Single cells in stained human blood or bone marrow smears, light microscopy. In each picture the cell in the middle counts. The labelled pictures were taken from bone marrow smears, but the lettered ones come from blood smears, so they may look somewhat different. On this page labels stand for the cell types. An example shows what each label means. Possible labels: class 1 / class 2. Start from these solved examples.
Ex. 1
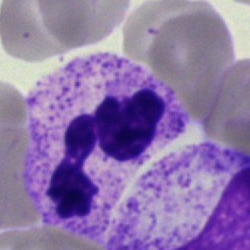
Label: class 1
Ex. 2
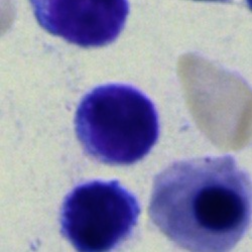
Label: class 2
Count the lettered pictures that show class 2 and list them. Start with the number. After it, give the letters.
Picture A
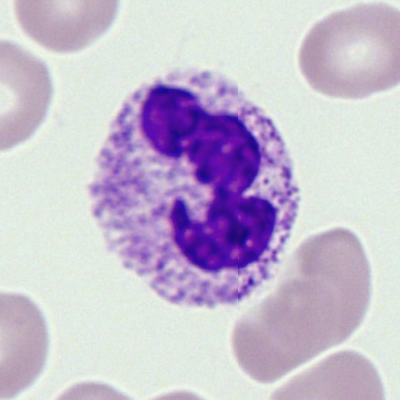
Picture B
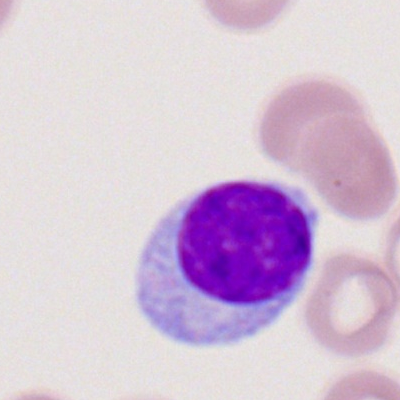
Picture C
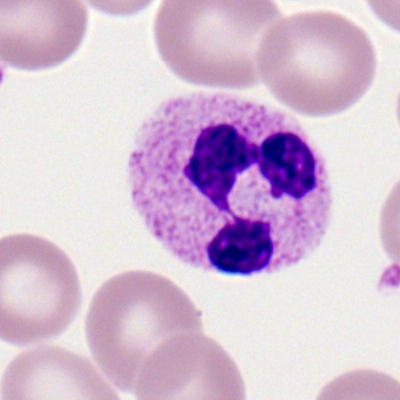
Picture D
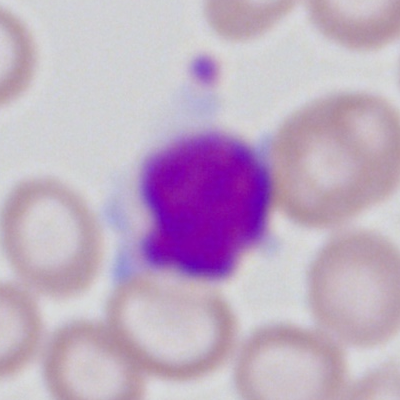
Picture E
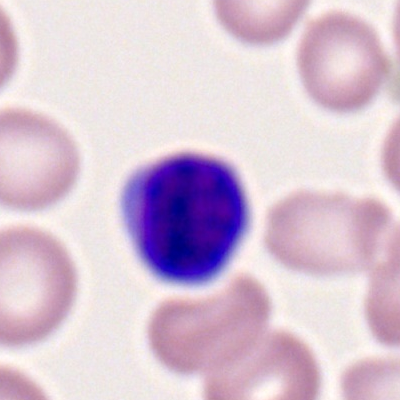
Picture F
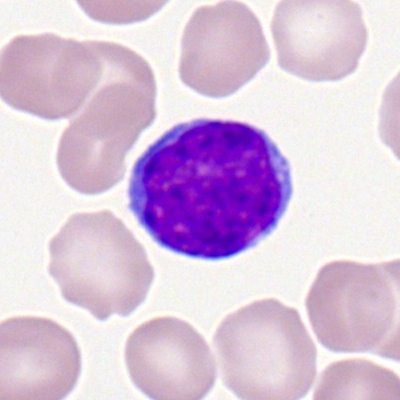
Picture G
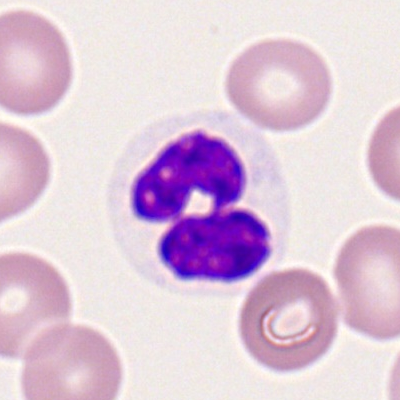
4, namely B, D, E, F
